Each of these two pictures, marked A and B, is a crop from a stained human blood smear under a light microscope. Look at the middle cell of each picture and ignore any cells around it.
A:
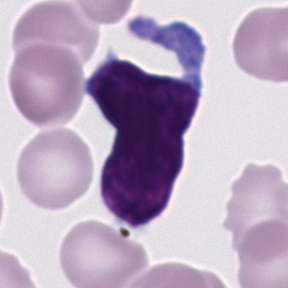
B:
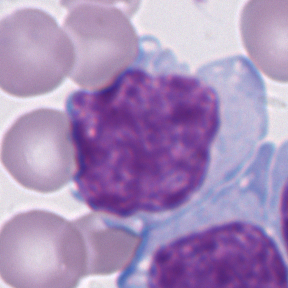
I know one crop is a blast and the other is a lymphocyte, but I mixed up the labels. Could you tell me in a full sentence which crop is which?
In this set, crop A is a lymphocyte and crop B is a blast.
